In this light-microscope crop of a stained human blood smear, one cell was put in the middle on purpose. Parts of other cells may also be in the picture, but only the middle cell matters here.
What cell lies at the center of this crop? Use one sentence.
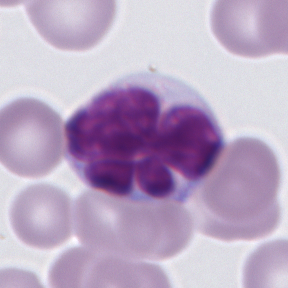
By classification, the middle cell of this crop is a large granular lymphocyte.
